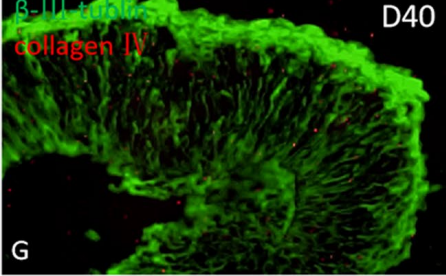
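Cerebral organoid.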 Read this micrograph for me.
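Elongated green profiles run across the band from the lumen toward the outer surface, which is densely labelled. Red is nearly absent.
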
